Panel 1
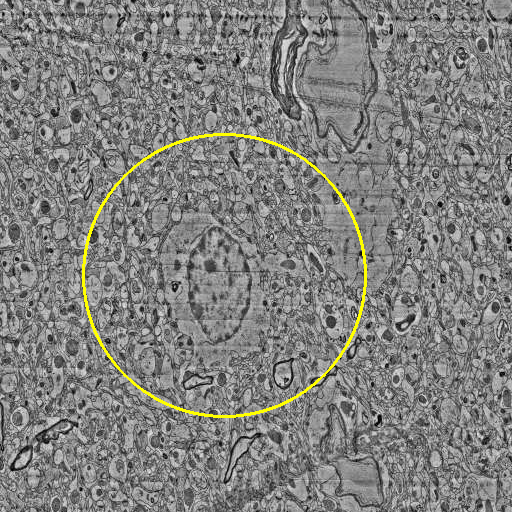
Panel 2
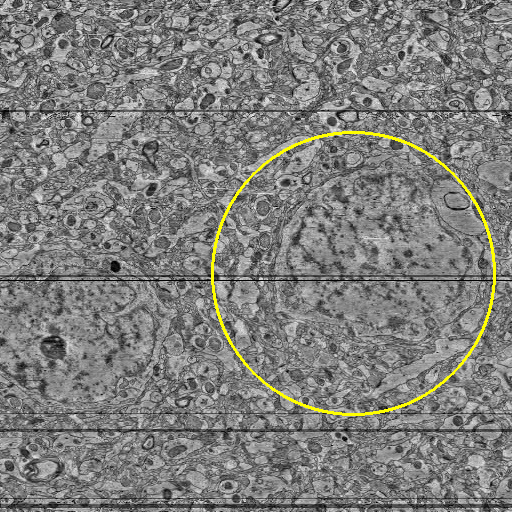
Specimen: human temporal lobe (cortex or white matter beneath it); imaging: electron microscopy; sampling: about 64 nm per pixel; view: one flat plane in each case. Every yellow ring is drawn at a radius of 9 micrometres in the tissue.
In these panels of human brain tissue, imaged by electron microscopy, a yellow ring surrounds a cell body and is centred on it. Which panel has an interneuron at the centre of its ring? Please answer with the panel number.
2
